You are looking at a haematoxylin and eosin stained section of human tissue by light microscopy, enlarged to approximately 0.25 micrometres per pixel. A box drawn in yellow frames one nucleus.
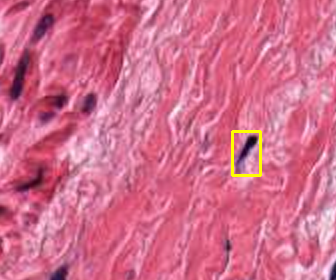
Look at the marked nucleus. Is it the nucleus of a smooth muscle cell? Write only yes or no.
no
